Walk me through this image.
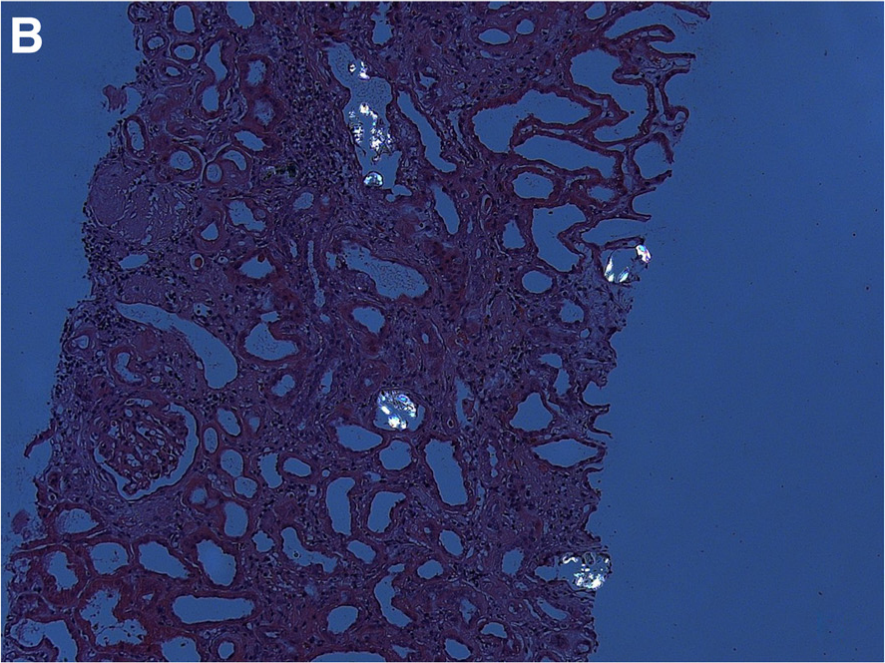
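Under polarised light the kidney tissue appears dark, with tubules and a glomerulus visible. Several bright white, sparkling crystalline clusters light up within tubular lumens, scattered across the section.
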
